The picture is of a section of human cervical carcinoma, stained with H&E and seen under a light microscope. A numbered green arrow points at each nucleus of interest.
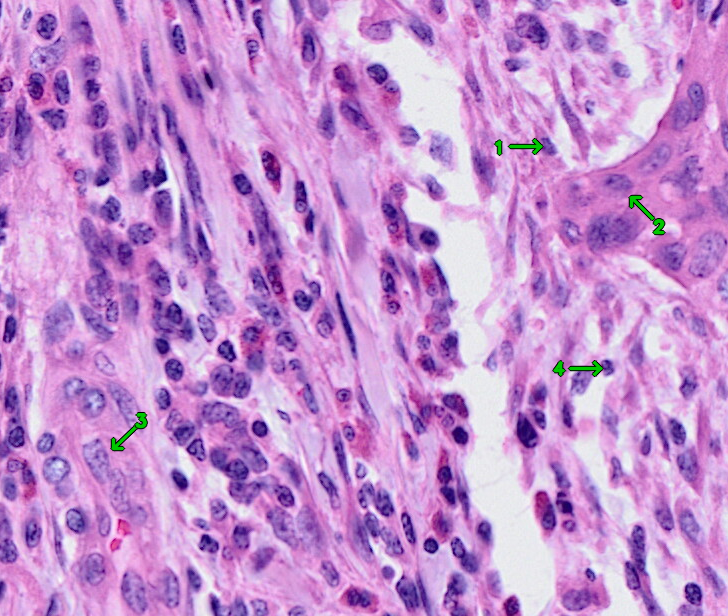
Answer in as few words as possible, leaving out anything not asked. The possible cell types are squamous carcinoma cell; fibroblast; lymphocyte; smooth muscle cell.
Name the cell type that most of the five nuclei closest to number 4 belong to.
fibroblast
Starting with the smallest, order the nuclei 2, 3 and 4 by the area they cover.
4, 2, 3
